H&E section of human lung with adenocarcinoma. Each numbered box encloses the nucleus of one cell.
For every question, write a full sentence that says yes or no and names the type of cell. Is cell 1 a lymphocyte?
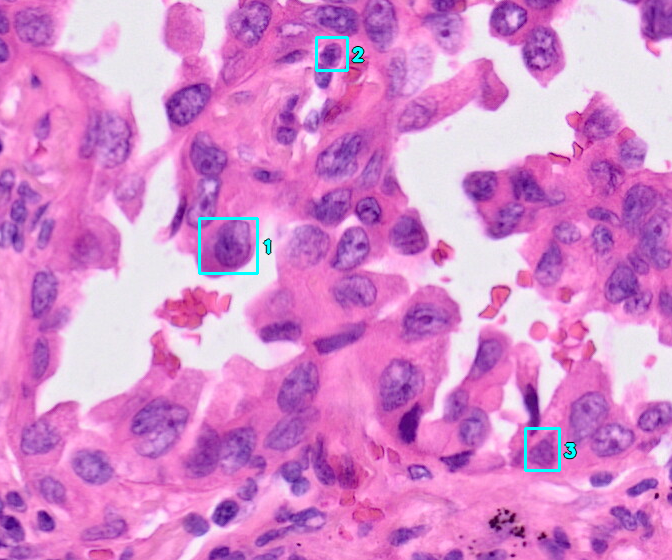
No, cell 1 is not a lymphocyte, but is instead a carcinoma cell.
